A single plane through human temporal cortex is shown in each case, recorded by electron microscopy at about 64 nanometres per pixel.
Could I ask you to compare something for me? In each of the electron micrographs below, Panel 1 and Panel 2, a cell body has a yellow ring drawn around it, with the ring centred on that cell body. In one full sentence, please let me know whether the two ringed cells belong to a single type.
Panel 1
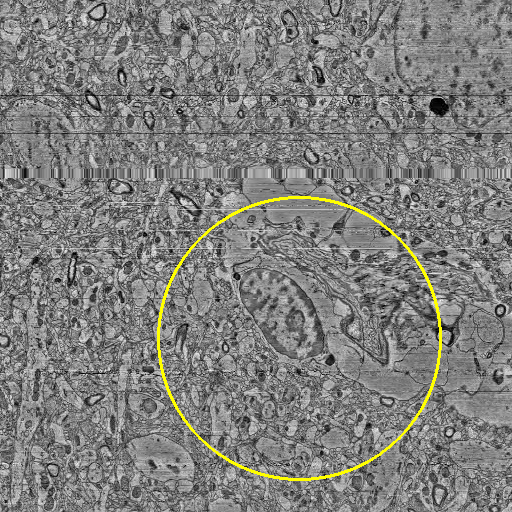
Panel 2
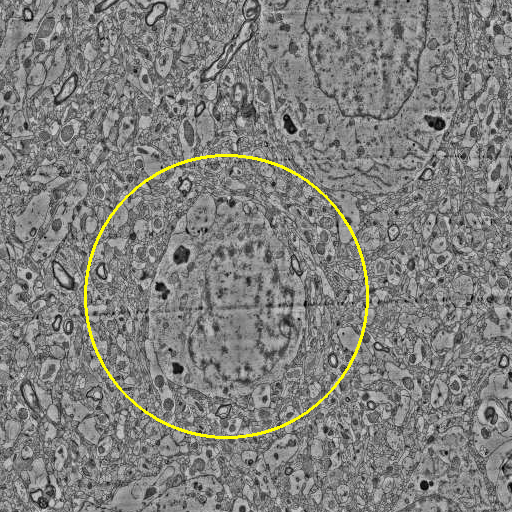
No, the two cells at the centres of the rings are of two types.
